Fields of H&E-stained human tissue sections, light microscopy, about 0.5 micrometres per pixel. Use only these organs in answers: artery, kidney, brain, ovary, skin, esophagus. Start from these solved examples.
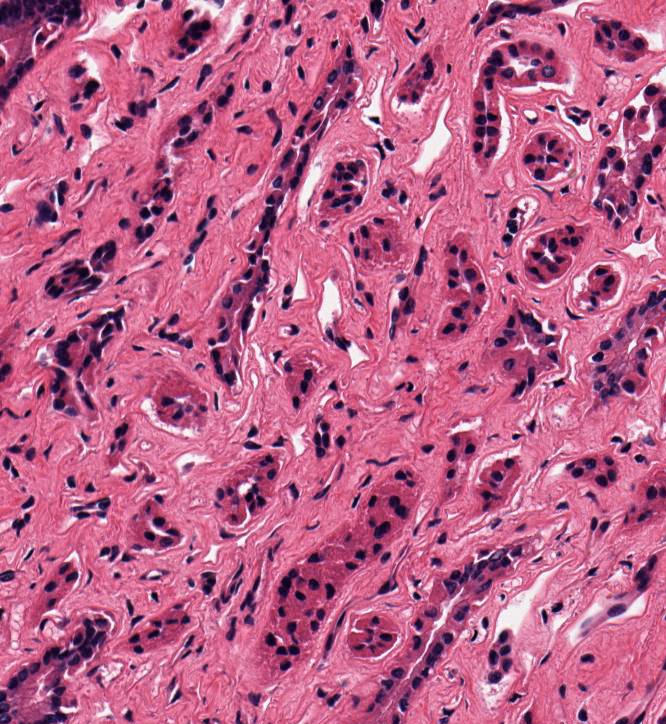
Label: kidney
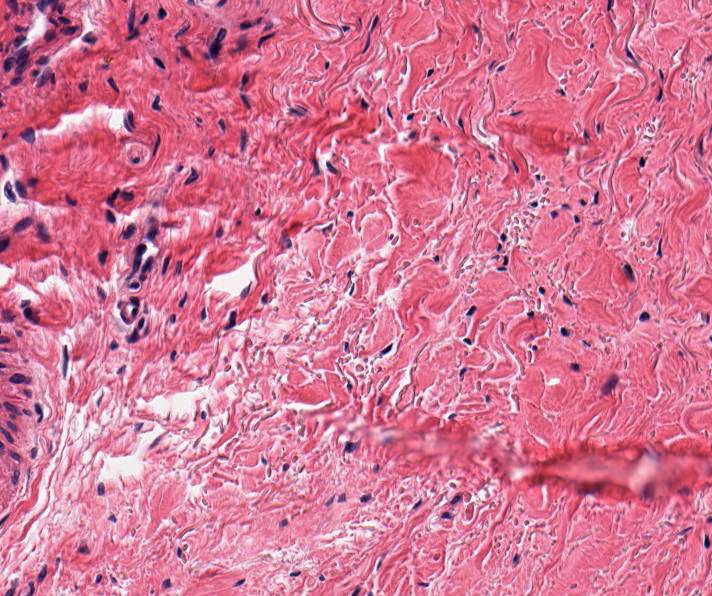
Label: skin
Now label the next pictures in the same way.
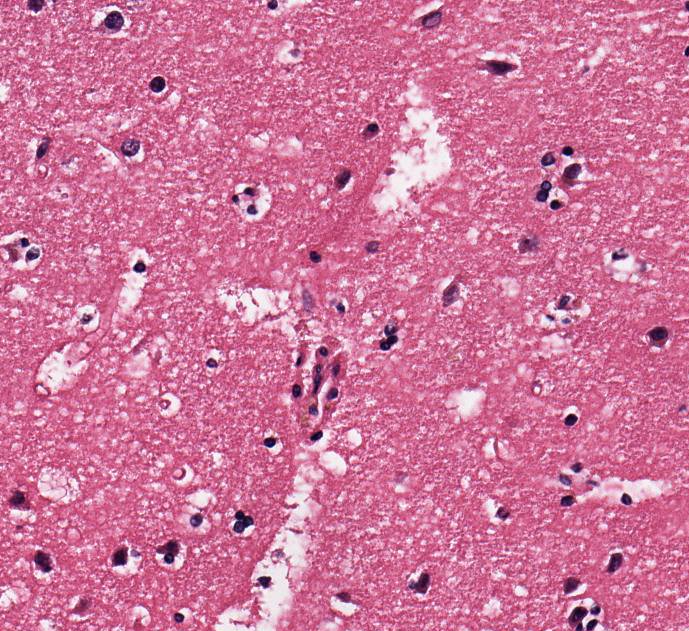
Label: brain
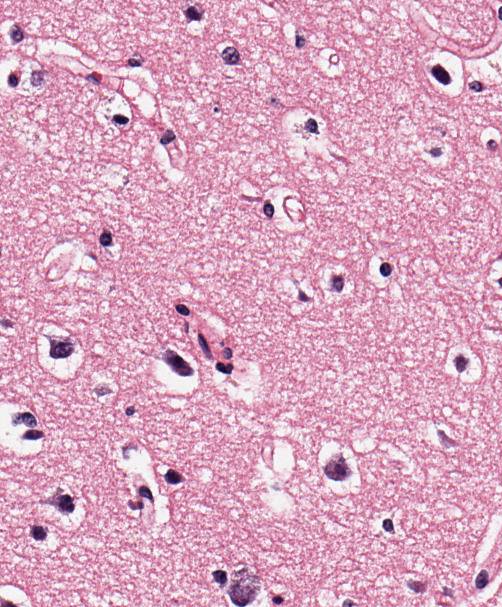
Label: brain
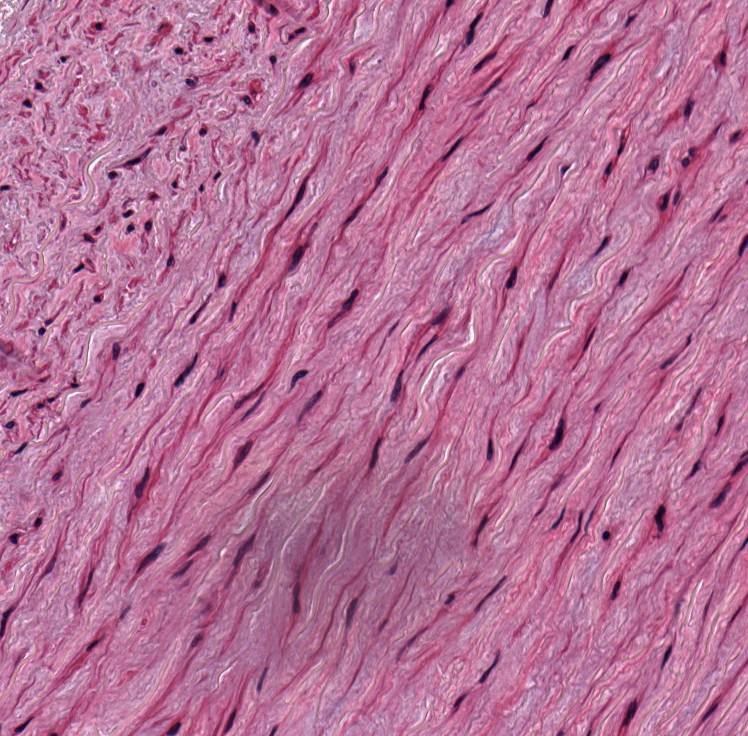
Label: artery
